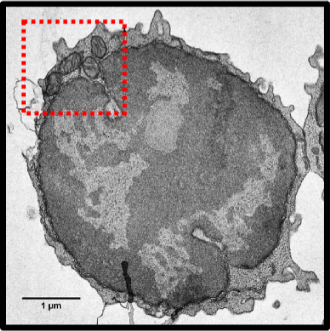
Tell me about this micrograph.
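A single round lymphocyte seen by transmission electron microscopy, with a large nucleus that takes up most of the cell. The nucleus holds irregular patches of dense heterochromatin against paler euchromatin. The cytoplasm is a thin rim around the nucleus, widest at the upper left. A red dotted box at the upper left frames a small group of mitochondria lying in this rim. The cell surface carries short irregular projections.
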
